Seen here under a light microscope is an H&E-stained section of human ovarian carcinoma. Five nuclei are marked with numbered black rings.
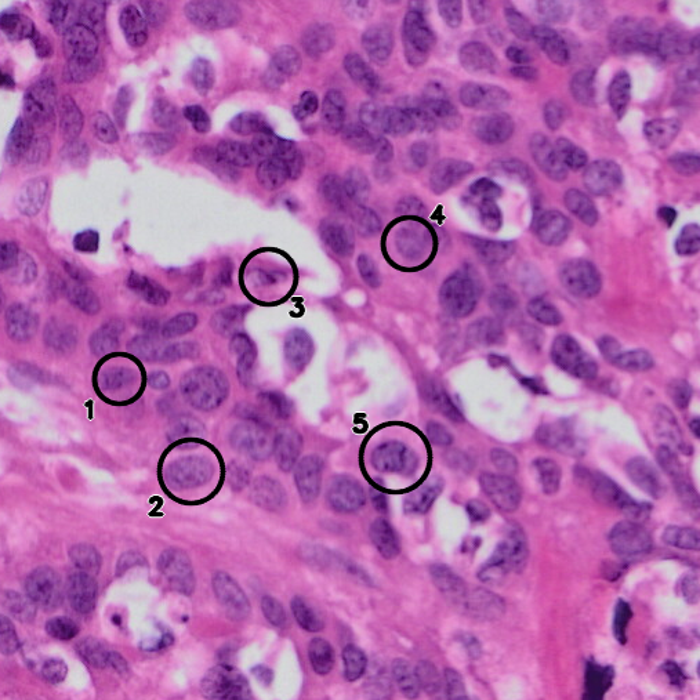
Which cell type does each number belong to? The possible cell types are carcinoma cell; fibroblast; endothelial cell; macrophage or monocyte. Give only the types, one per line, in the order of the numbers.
carcinoma cell
carcinoma cell
macrophage or monocyte
carcinoma cell
macrophage or monocyte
